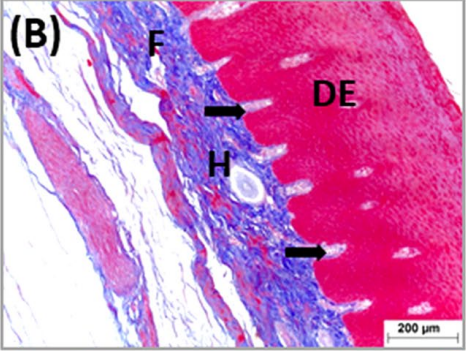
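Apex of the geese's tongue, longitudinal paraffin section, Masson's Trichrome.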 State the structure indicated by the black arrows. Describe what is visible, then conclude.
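Connective tissue papillae. The black arrows point at pale finger-like projections extending from the underlying tissue into the thick red-stained epithelium. Similar projections recur at regular intervals along the epithelial base.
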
